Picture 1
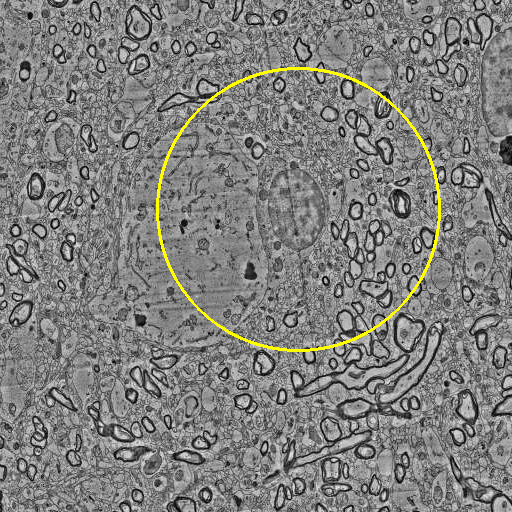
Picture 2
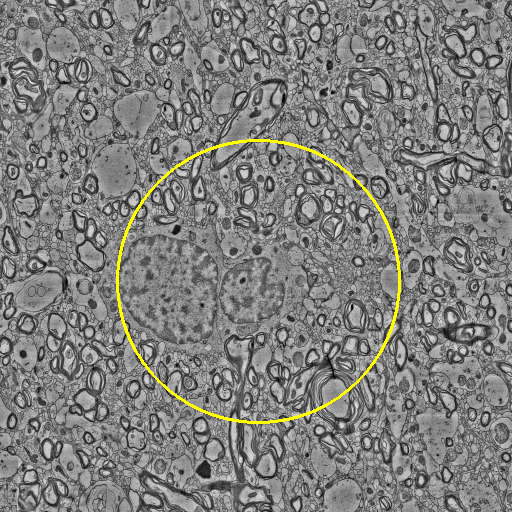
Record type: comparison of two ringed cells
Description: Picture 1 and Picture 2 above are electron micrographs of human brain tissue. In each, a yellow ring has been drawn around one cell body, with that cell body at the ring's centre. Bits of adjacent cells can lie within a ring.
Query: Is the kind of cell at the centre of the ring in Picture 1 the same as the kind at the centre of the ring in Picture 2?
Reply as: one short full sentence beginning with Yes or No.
Yes, the two ringed cells are of the same kind.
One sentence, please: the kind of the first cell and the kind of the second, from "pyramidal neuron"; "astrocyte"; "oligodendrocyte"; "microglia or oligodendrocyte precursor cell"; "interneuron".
The cell in the first picture is an oligodendrocyte, and so is the one in the second.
